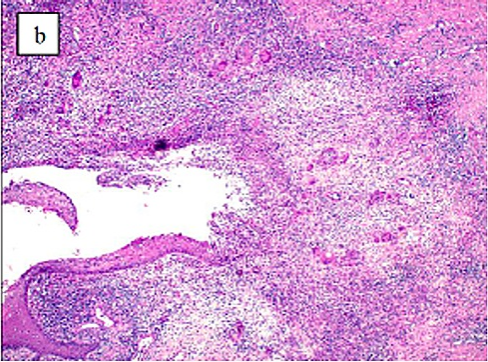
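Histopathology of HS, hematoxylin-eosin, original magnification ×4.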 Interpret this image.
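This is dermal connective tissue at low power, with a large empty cleft at the left lined partly by a pink, wavy layer. Around it the tissue is crowded with scattered purple cells, with paler, loosened zones in between.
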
